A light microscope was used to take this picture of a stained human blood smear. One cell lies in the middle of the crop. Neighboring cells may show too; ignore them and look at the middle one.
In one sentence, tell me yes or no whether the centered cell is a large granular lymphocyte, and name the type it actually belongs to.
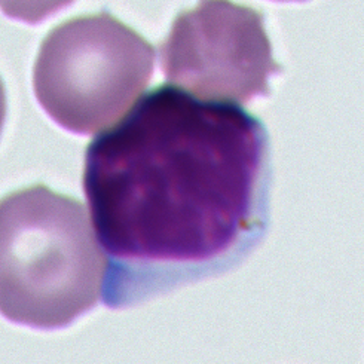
No, the central cell is designated a typical lymphocyte and not a large granular lymphocyte.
